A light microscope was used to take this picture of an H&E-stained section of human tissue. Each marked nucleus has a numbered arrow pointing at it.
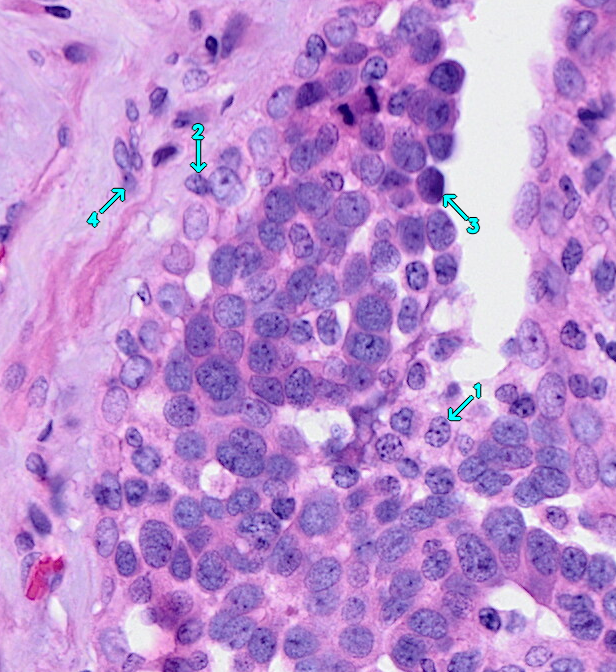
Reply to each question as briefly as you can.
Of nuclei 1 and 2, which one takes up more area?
1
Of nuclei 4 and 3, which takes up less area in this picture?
4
